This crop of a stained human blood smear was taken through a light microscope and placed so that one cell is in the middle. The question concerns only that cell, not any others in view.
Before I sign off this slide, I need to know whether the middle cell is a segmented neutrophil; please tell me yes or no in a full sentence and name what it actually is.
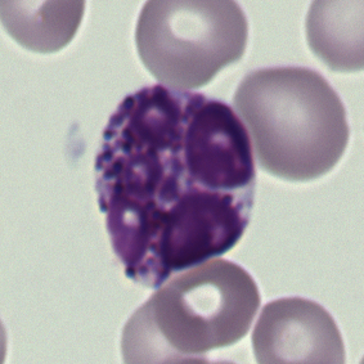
No, looking at the central cell, it is a basophil rather than a segmented neutrophil.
